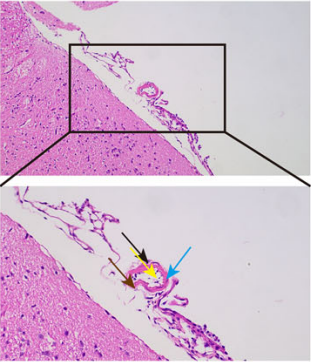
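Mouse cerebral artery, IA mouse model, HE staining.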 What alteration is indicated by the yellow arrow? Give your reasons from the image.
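Endothelial cell detachment. Material of the inner lining lies loose from the wall.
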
